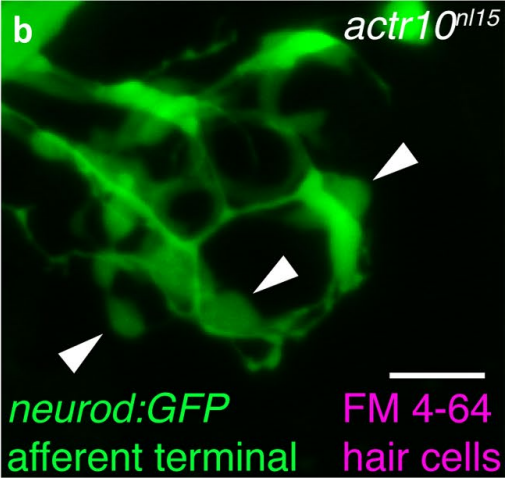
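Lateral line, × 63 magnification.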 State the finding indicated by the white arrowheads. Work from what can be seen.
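The white arrowheads point to bulbous enlargements of the green processes. The marked spots are much wider than the thin green strands around them.
Conclusion: swellings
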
